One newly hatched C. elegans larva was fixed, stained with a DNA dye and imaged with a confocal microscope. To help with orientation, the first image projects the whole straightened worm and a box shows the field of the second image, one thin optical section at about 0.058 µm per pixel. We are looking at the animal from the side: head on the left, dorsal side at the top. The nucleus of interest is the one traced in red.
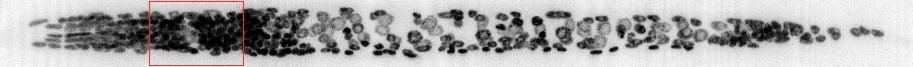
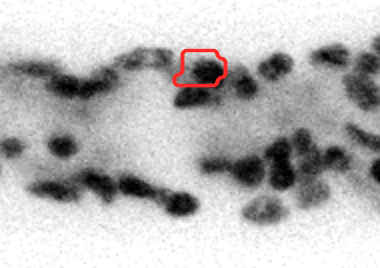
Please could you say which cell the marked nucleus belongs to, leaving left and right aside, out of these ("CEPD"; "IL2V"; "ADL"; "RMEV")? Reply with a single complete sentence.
It belongs to CEPD, a neuron.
